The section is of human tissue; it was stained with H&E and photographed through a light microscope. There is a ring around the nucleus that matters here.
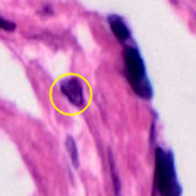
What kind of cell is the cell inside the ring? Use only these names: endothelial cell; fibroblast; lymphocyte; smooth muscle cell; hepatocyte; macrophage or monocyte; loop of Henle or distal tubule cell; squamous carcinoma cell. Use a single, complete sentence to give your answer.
In the tissue at hand, the cell inside the ring is a fibroblast.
